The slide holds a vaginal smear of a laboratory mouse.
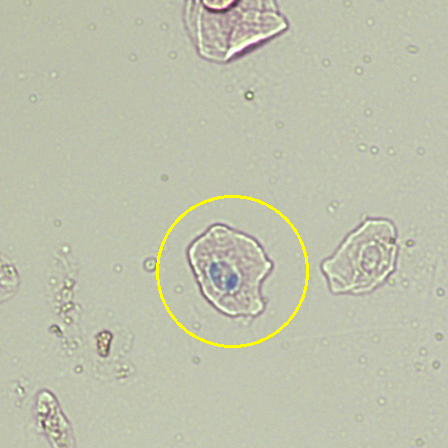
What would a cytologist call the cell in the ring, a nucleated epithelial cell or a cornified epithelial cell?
A cytologist would call it a nucleated epithelial cell.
